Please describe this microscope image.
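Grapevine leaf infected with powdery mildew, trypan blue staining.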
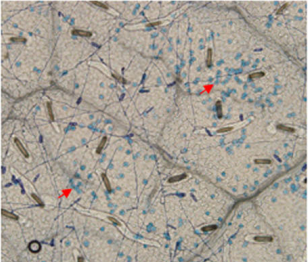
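A cleared leaf is seen from above, with a network of veins and many small round bodies stained light blue scattered and grouped across the tissue. Thin threads run over the surface, and elongated brownish structures lie scattered among them.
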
